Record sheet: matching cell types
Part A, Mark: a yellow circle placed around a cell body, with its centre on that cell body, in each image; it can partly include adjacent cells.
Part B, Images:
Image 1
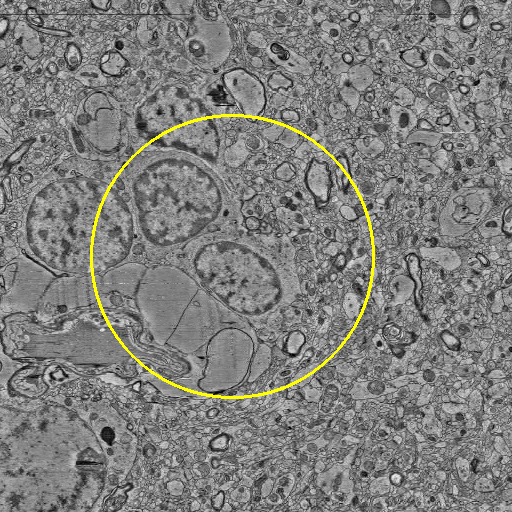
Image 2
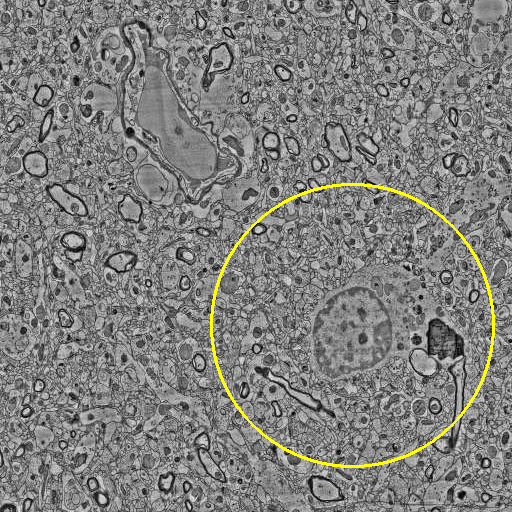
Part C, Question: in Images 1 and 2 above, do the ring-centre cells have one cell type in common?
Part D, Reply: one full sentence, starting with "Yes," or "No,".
Yes, the ring-centre cells of Image 1 and Image 2 are both of a single cell type.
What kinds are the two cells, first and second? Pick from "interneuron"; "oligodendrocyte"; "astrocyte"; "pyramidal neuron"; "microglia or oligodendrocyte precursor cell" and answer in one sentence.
Both pictures show a microglial cell or oligodendrocyte precursor cell at the centre of the ring.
